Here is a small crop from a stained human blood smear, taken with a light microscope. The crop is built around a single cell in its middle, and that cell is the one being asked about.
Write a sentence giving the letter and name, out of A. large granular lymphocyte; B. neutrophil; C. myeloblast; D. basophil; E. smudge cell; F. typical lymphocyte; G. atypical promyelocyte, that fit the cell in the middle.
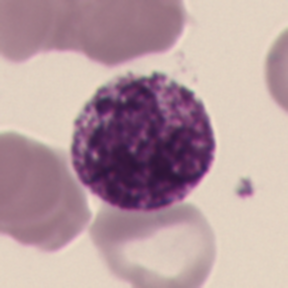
Option D correctly names the cell in the middle as a basophil.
